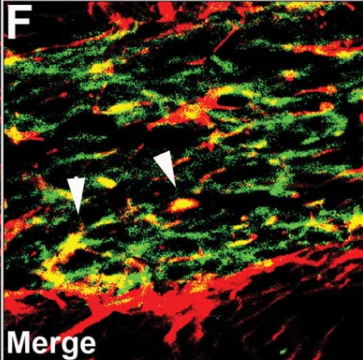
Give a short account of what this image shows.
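A dense field of elongated cells is shown in green and red fluorescence on a black background, mostly oriented in parallel from one side of the frame to the other. The green cells have spindle-shaped bodies with fine, grainy extensions. Red cells with thin branching processes are scattered among them and form a thicker band of processes along the lower edge. Where green and red overlap the cells appear yellow, and two of these yellow cell bodies are marked by white arrowheads.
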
